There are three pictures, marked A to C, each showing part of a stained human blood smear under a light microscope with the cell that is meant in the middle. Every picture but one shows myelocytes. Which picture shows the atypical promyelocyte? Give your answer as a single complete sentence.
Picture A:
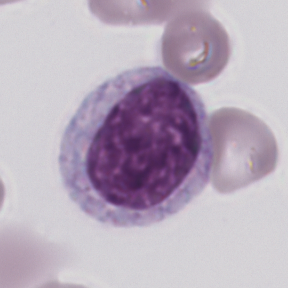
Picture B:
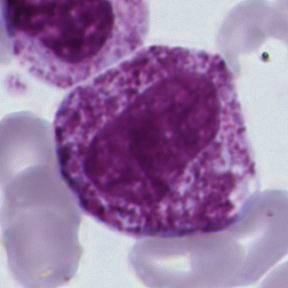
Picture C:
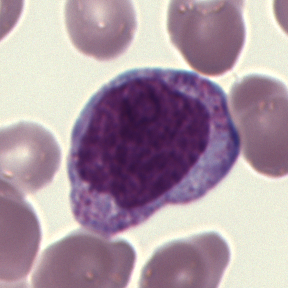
It is picture C that shows the atypical promyelocyte.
